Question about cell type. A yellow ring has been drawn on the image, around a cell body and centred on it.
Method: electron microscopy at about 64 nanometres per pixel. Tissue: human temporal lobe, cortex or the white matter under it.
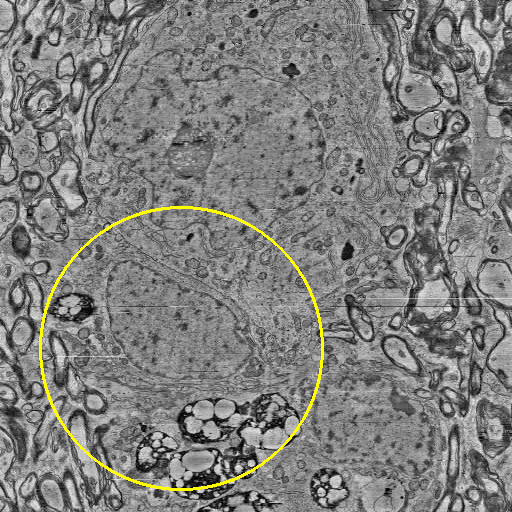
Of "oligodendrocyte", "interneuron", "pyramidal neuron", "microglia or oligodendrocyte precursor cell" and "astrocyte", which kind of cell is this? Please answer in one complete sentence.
At the centre of the ring lies an astrocyte.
